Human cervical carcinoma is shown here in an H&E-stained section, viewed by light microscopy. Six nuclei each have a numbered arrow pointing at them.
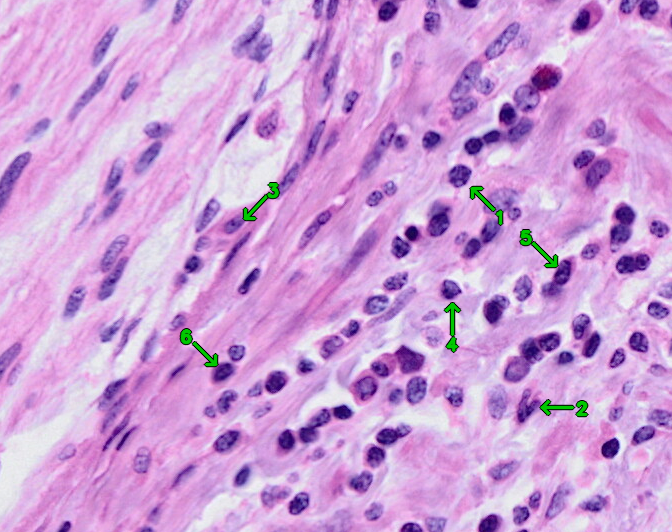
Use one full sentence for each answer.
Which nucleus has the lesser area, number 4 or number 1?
The smaller nucleus is 4, and 1 covers roughly 1.5 times its area.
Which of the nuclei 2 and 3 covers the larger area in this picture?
Nucleus 2 covers more area, about 1.5 times as much as nucleus 3.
